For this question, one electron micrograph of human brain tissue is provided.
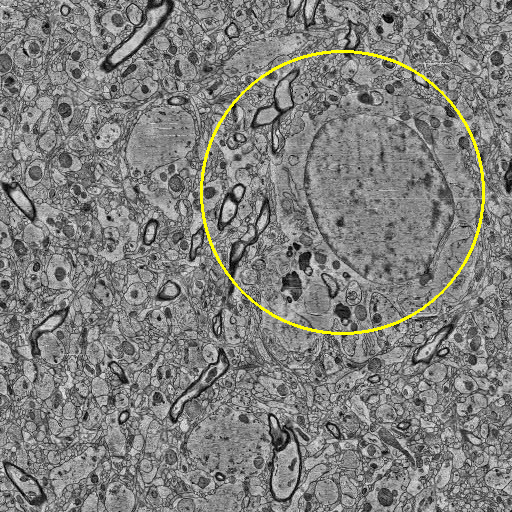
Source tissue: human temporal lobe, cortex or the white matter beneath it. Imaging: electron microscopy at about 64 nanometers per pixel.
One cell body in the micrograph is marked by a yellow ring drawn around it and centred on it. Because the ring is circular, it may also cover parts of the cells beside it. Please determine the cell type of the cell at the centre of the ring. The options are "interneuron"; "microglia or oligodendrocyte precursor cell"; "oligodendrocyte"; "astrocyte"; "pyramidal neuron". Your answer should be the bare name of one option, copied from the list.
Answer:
astrocyte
